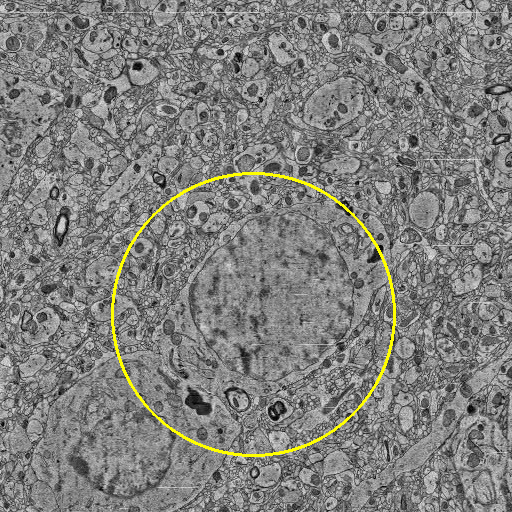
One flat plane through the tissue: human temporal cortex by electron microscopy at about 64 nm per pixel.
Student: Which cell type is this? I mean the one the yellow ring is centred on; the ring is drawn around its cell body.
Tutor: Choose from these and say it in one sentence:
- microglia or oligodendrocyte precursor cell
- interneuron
The cell the ring is centred on is an interneuron.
